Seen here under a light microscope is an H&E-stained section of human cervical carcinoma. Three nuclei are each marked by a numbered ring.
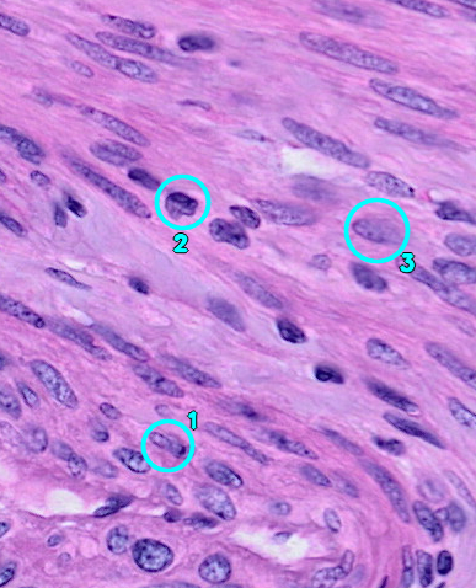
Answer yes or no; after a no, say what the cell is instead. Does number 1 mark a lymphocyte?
No, it is a smooth muscle cell.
